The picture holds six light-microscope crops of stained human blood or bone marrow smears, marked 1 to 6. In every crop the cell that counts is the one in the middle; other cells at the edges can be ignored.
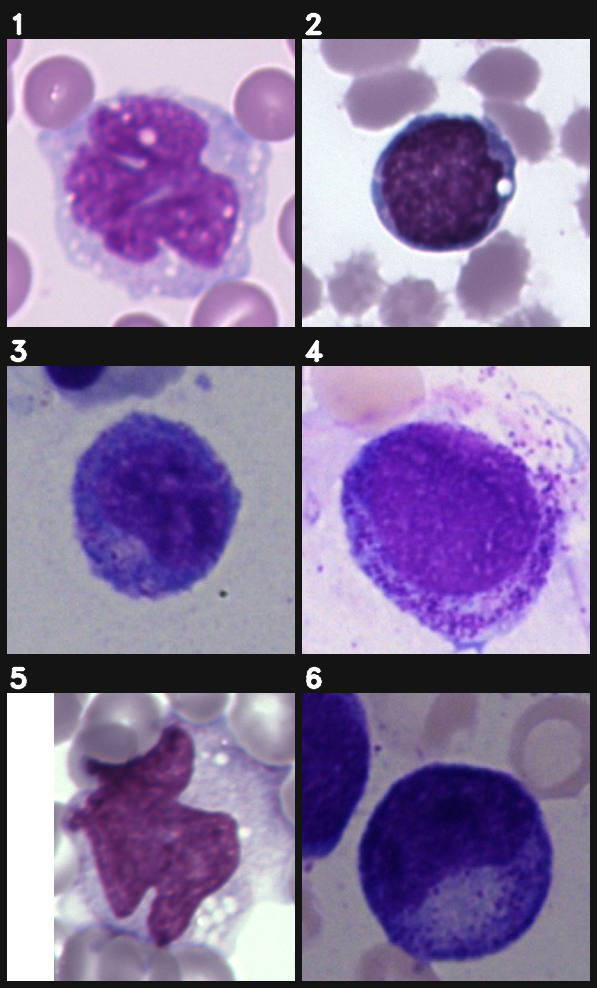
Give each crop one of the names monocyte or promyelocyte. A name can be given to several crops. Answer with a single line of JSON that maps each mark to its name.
{"1": "monocyte", "2": "monocyte", "3": "promyelocyte", "4": "promyelocyte", "5": "monocyte", "6": "promyelocyte"}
